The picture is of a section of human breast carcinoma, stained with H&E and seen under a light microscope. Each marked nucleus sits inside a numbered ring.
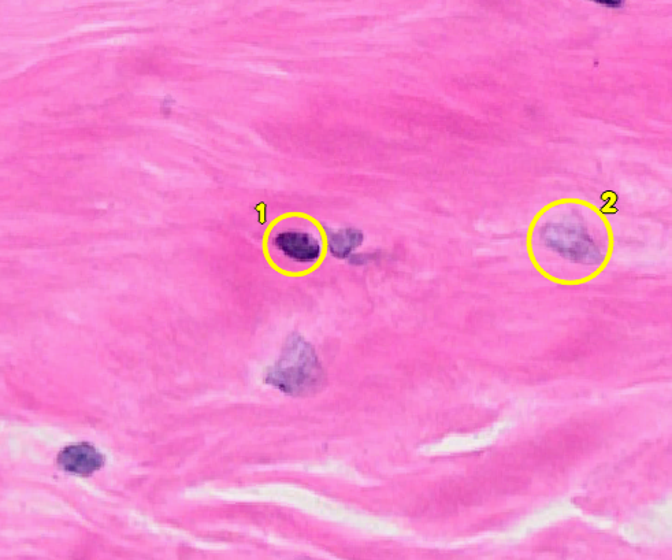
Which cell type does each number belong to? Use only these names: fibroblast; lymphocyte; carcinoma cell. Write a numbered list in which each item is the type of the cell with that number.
1. lymphocyte
2. fibroblast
